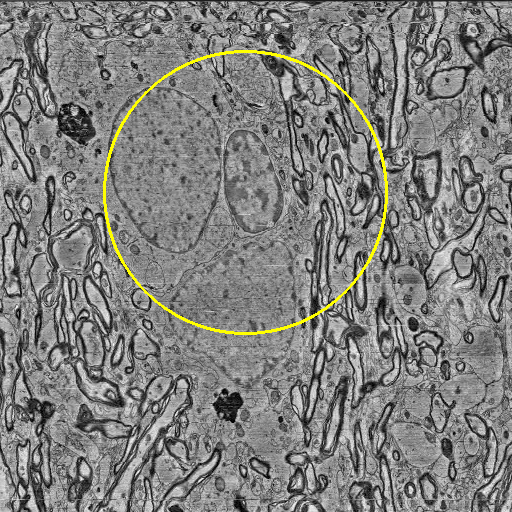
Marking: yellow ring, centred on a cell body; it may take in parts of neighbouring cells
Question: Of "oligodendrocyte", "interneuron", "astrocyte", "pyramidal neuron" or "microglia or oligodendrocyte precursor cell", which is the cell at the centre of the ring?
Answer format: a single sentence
The ring surrounds the body of a microglial cell or oligodendrocyte precursor cell.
